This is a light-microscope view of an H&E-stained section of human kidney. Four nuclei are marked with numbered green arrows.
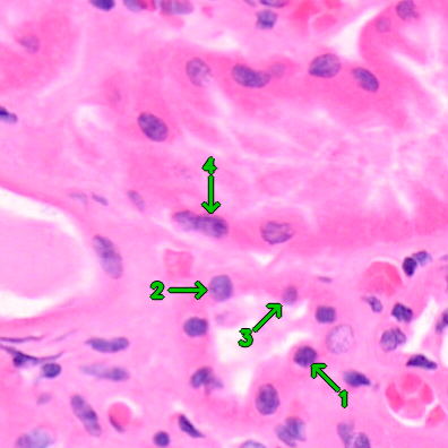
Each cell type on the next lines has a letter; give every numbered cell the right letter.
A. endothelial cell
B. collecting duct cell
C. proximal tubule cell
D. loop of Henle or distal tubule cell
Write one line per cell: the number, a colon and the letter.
1: D
2: D
3: D
4: C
